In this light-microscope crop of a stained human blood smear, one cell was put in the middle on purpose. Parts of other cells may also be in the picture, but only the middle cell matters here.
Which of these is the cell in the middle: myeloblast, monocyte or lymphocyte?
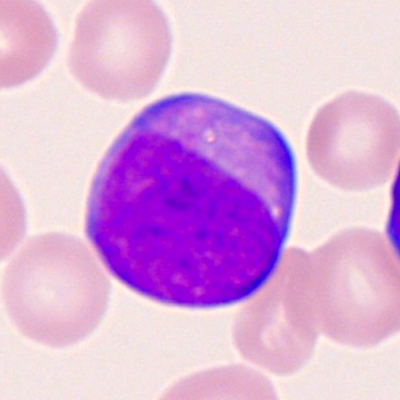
myeloblast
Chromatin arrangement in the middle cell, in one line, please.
The chromatin shows a fine pattern without coarse clumps.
